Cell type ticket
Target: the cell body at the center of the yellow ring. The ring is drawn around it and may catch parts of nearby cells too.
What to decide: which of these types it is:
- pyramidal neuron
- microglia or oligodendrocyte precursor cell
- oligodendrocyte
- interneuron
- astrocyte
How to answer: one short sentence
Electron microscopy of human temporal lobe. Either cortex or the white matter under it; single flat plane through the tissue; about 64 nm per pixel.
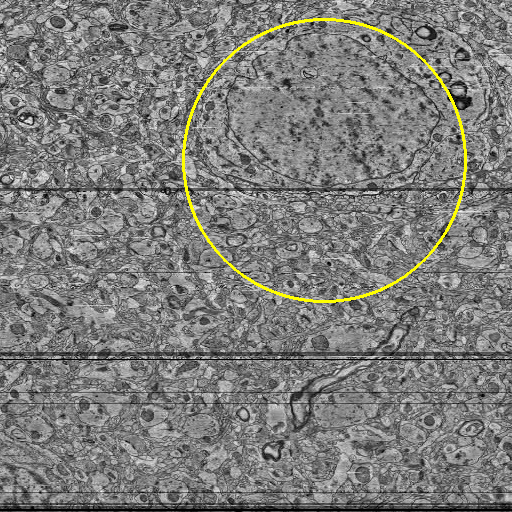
The cell at the center of the ring is a pyramidal neuron.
